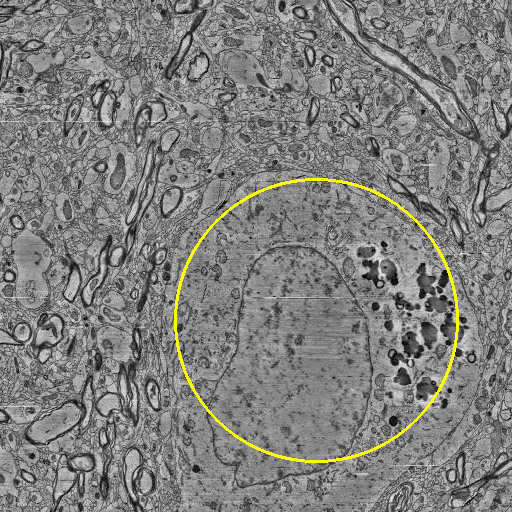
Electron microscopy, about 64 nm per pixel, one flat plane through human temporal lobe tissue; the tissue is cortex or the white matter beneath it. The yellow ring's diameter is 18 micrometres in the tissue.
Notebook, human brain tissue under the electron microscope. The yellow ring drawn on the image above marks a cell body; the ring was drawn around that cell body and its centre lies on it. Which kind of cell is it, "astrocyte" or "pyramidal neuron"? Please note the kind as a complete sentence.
The marked cell body is that of a pyramidal neuron.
